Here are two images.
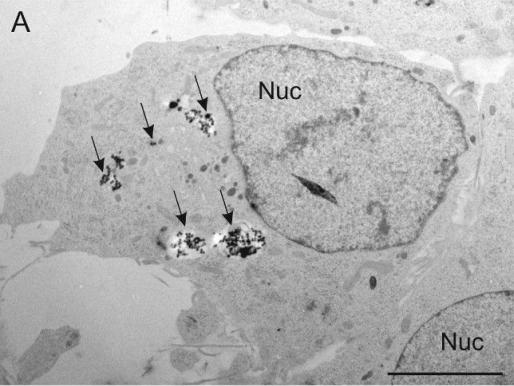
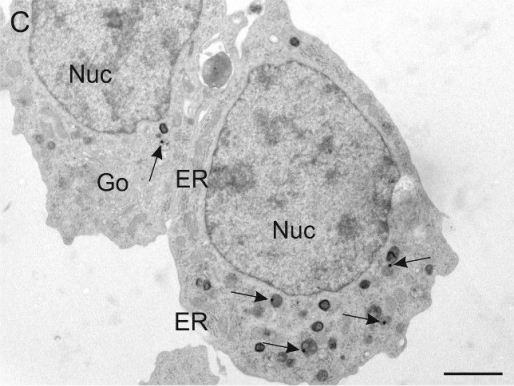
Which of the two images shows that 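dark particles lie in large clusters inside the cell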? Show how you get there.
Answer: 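The first image. Second image: the arrows point to tiny single dark dots, mostly inside small dark round organelles. First image: the arrows point to large aggregates of many dark particles in the cytoplasm beside the nucleus.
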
